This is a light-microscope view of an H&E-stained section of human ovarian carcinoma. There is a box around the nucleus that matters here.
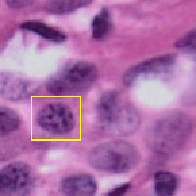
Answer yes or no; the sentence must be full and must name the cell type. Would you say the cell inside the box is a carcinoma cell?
No, for the cell inside the box the correct label is a macrophage or monocyte and not a carcinoma cell.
